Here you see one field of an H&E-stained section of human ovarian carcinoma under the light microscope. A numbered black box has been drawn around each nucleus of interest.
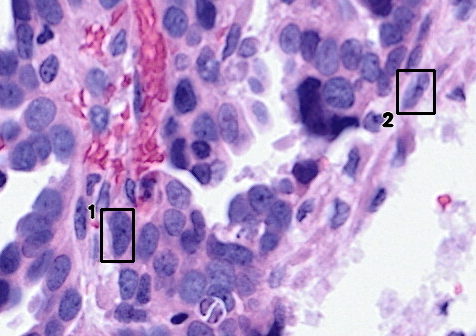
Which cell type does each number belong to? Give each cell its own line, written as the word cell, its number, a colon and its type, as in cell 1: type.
cell 1: carcinoma cell
cell 2: fibroblast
